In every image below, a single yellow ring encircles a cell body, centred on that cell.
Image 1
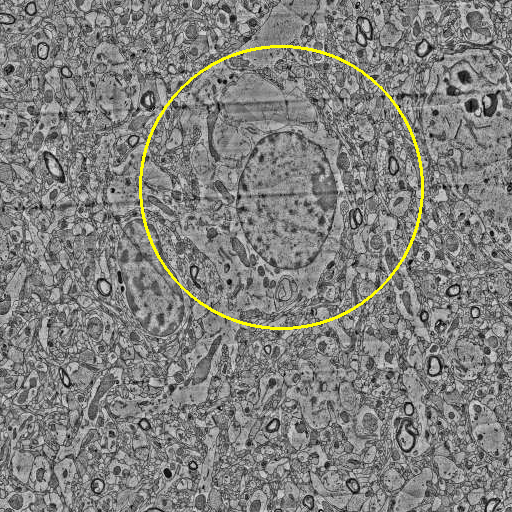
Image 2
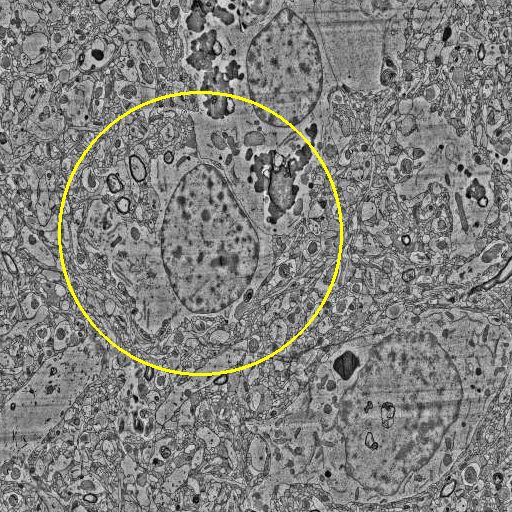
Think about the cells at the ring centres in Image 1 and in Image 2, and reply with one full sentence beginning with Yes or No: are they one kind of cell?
Yes, the cells centred in the rings of Image 1 and Image 2 are one kind of cell.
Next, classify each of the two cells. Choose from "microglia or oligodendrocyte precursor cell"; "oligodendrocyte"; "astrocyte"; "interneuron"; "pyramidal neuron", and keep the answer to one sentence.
In the first picture and in the second, the ring is centred on an astrocyte.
